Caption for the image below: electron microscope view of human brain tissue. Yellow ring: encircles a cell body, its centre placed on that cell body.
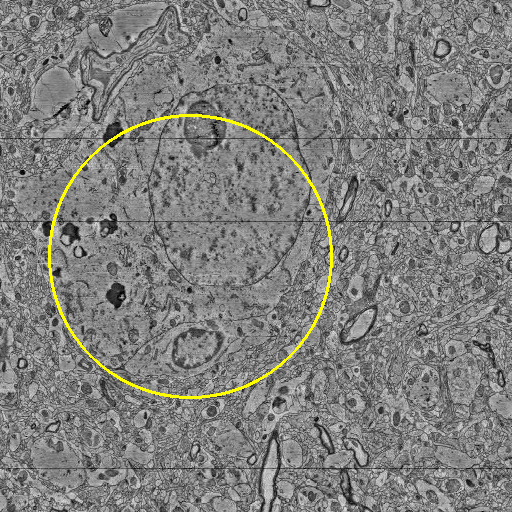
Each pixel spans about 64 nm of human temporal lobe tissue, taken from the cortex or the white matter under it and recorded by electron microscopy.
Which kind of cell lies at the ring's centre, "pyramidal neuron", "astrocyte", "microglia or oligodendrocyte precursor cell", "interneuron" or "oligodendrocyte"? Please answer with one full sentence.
The picture shows a pyramidal neuron at the centre of the yellow ring.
